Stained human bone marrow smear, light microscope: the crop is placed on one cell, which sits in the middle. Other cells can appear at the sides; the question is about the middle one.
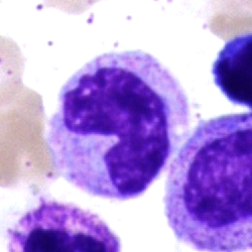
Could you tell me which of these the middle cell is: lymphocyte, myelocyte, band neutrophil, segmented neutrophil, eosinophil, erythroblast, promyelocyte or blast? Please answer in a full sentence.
The central cell, amid any neighbouring cells, is a band neutrophil.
